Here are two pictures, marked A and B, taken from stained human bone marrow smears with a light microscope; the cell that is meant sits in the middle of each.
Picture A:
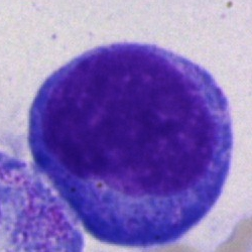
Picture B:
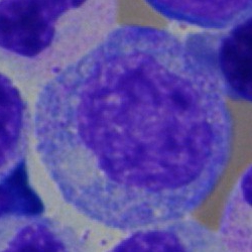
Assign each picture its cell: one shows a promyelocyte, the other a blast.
A: blast
B: promyelocyte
